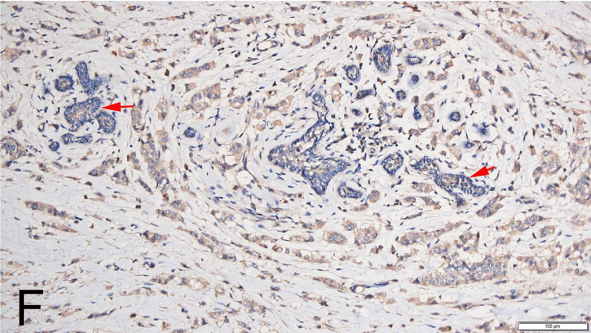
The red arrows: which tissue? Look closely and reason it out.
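The arrows point at small glands with blue-stained lining cells. These glands are surrounded by brown-stained infiltrating tumour cells. So: normal breast gland epithelium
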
